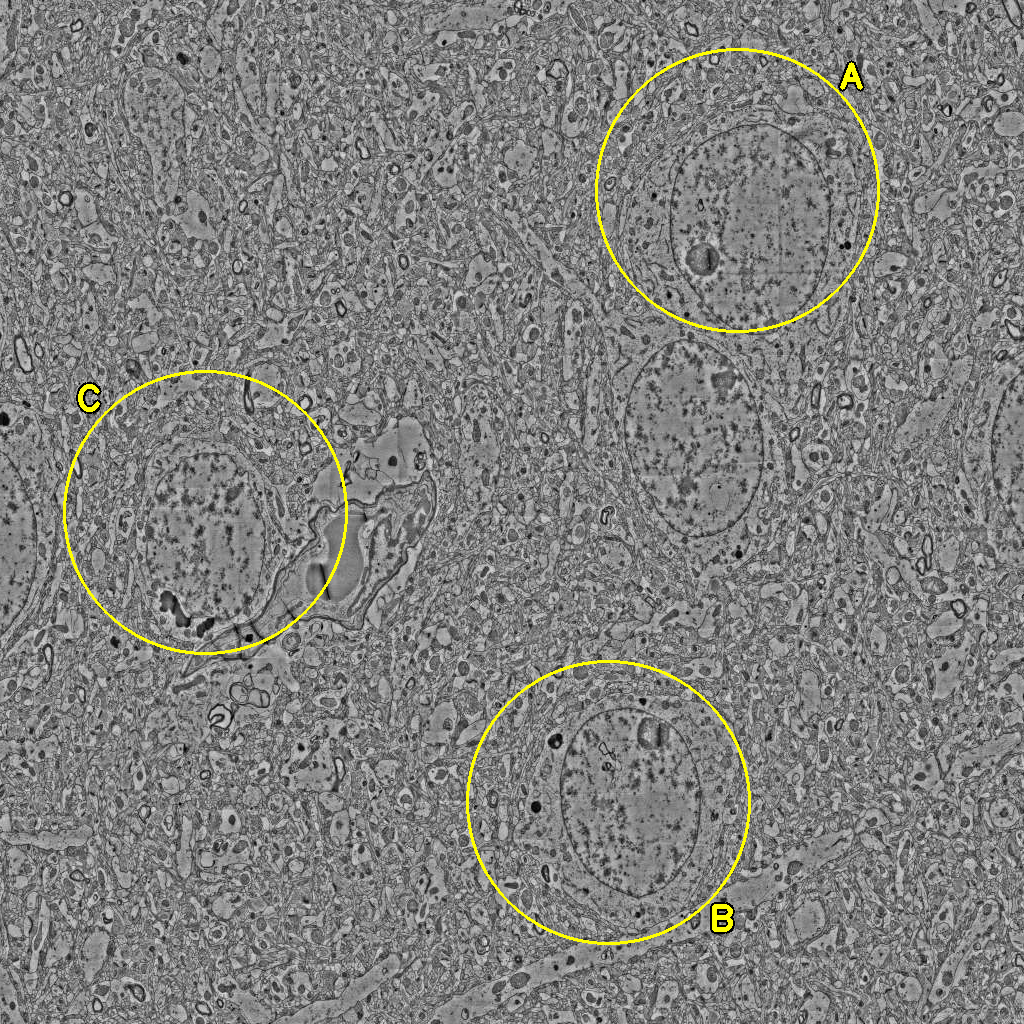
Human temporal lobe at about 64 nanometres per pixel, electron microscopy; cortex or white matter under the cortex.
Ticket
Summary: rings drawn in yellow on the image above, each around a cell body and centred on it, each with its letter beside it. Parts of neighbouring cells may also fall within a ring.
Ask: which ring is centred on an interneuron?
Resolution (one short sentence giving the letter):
The ring marked C is centred on it.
